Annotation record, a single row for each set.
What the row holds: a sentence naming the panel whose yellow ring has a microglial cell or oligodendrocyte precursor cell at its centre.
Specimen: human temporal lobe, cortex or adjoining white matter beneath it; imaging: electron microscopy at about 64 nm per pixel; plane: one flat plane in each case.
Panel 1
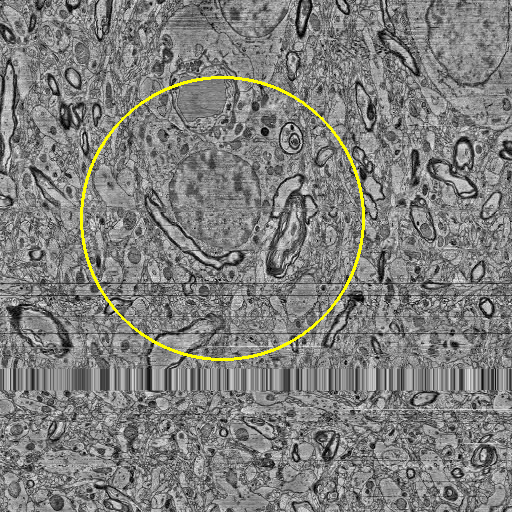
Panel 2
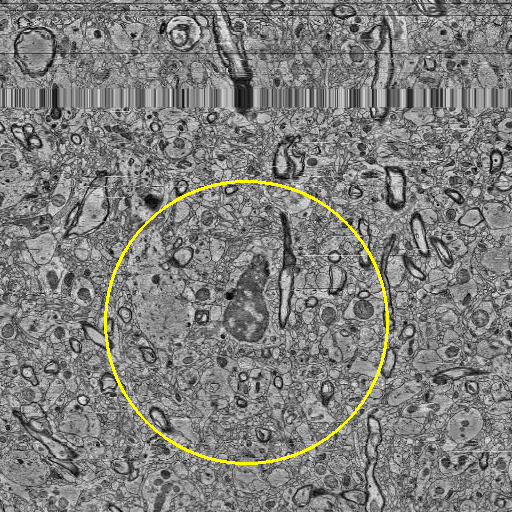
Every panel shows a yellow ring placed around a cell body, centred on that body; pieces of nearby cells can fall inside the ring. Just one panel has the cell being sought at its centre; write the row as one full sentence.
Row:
In panel 2, the cell at the middle of the yellow ring is the one sought.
